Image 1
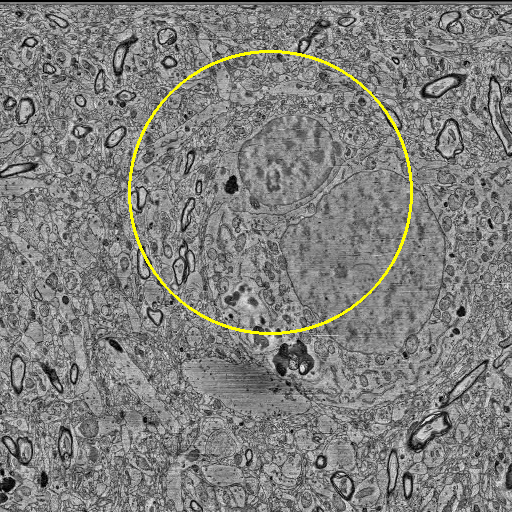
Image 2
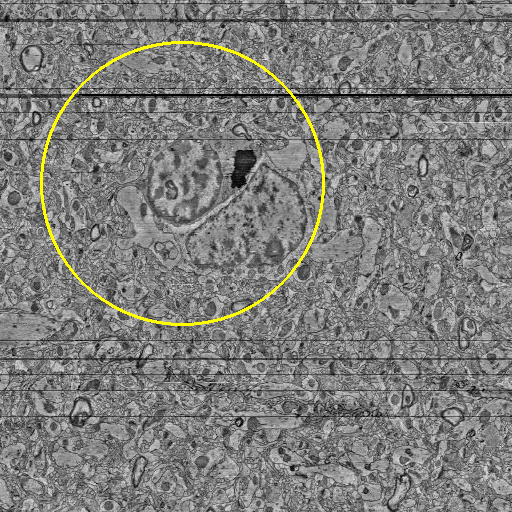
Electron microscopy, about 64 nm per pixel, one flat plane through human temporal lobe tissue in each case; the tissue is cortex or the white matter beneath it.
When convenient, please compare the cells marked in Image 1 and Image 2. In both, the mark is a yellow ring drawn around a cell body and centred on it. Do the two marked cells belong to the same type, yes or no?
yes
